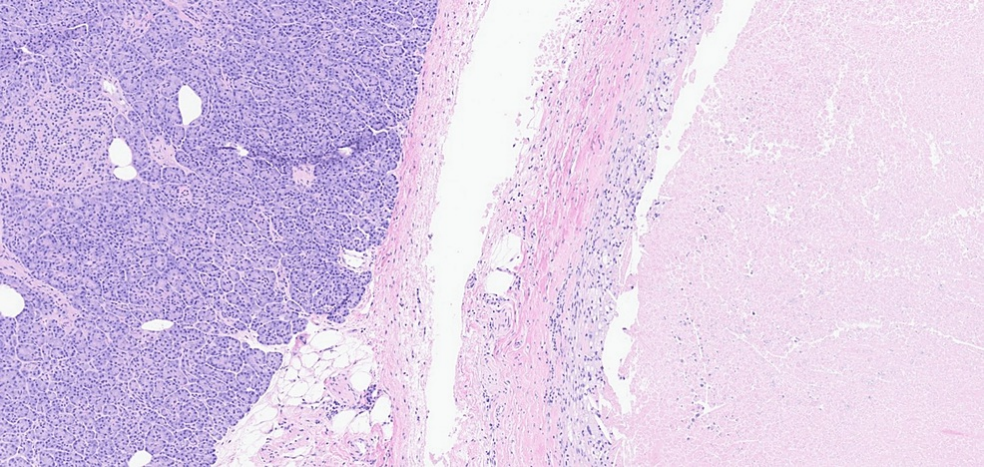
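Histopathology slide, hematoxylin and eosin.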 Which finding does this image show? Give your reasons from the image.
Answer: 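Coagulative necrosis. The right part of the panel is a pale pink, structureless area with almost no nuclei. This pale pink area is sharply separated from the surrounding tissue by a band of fibrous tissue.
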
